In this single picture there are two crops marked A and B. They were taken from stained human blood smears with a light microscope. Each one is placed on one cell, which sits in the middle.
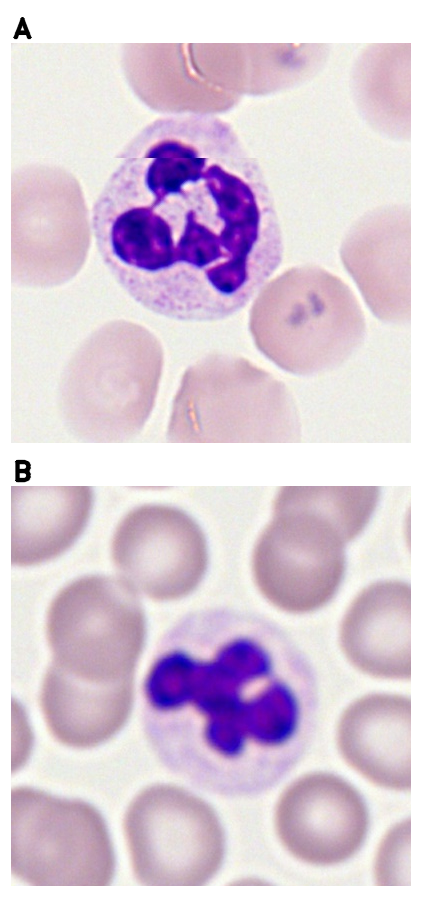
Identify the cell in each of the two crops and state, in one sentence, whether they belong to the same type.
Yes, the middle cells in both crops are indeed segmented neutrophils.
